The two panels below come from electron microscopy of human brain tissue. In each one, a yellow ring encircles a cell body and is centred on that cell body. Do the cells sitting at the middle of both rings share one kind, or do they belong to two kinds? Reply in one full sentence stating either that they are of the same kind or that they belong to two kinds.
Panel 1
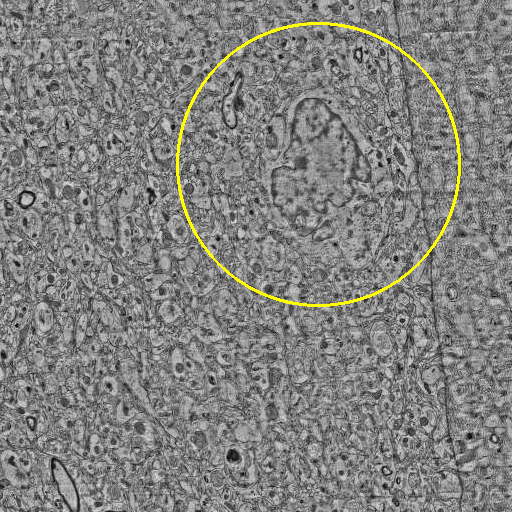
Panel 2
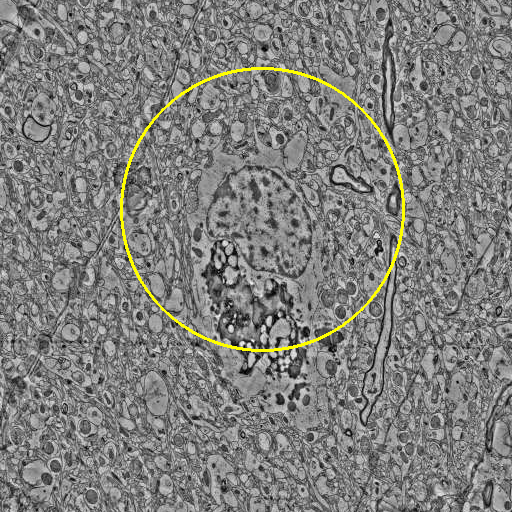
The cells at the centres of the two rings belong to two kinds.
